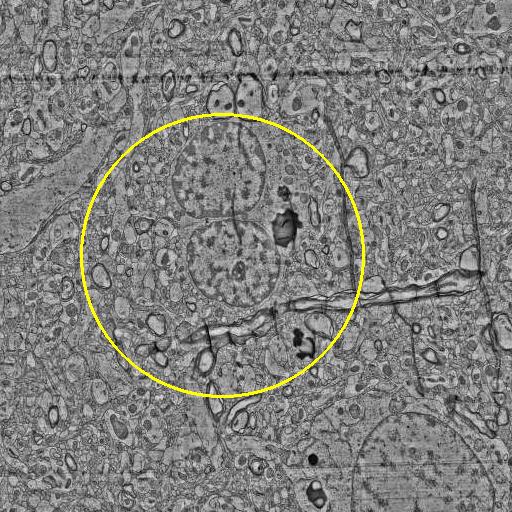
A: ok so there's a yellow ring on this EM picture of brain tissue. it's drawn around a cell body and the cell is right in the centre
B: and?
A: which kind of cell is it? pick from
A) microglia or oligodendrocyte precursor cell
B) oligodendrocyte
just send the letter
B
